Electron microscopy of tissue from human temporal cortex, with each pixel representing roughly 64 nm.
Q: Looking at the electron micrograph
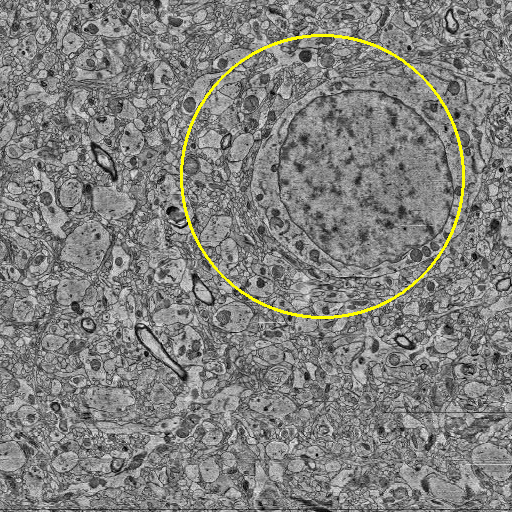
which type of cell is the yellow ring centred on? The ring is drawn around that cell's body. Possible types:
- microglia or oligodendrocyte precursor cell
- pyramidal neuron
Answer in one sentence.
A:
The yellow ring is centred on a pyramidal neuron.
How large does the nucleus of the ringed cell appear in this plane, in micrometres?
The ringed cell's nucleus is about 12 micrometres across in this plane.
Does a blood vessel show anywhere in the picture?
No, a blood vessel is absent from this picture.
